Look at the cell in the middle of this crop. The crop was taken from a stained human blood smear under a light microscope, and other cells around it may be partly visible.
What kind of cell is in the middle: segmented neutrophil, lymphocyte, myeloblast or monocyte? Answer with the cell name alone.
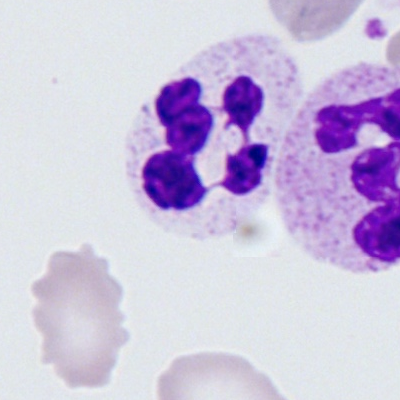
segmented neutrophil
